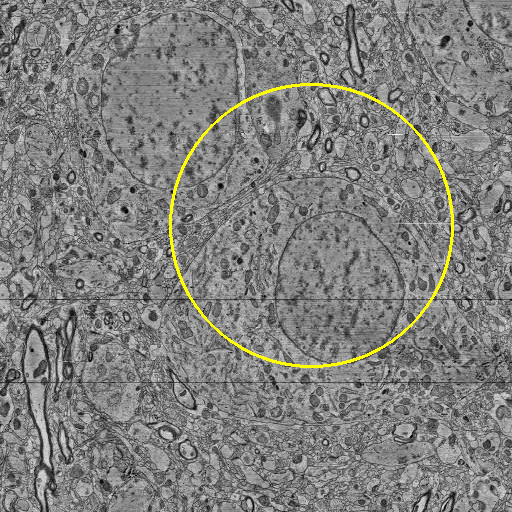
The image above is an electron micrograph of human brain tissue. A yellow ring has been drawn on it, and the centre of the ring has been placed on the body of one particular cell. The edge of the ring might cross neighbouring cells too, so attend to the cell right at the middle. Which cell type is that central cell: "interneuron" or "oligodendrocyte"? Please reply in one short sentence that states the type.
The central cell in the ring is an interneuron.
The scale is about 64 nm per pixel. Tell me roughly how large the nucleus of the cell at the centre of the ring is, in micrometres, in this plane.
Approximately 10 micrometres long and 9 micrometres wide, in this plane.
